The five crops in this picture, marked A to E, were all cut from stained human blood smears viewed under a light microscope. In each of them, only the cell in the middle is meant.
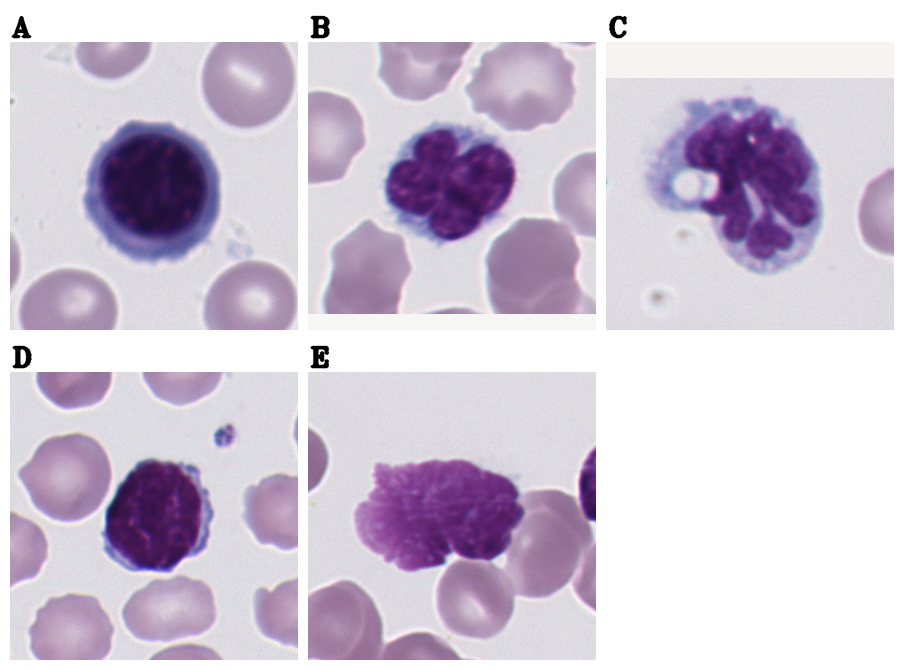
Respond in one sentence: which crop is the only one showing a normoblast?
As for which crop shows a normoblast, it is crop A.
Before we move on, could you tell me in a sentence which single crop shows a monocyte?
The requested cell, a monocyte, is the one in crop C.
